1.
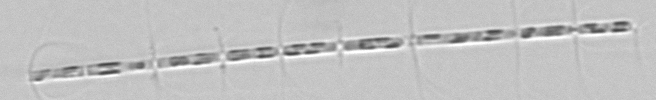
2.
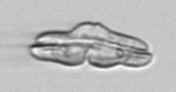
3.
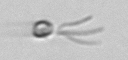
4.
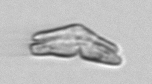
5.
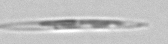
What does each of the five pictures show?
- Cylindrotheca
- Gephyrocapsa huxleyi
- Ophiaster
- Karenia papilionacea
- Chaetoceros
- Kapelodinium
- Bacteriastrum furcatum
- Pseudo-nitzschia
1: Bacteriastrum furcatum
2: Karenia papilionacea
3: Ophiaster
4: Karenia papilionacea
5: Pseudo-nitzschia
